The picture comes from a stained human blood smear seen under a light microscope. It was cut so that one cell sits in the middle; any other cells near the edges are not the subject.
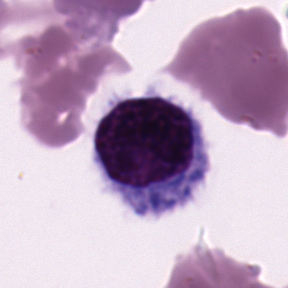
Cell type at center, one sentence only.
In the middle of this smear crop is a hairy cell.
